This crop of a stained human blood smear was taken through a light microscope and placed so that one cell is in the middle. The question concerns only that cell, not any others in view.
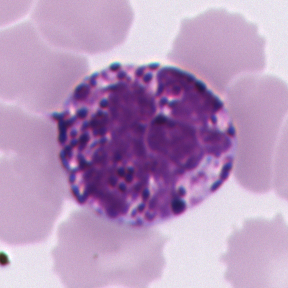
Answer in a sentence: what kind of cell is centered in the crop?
The central cell in this smear crop is a basophil.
